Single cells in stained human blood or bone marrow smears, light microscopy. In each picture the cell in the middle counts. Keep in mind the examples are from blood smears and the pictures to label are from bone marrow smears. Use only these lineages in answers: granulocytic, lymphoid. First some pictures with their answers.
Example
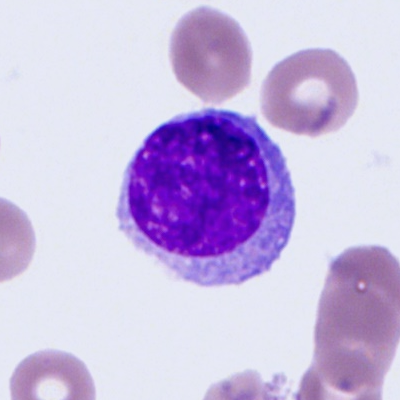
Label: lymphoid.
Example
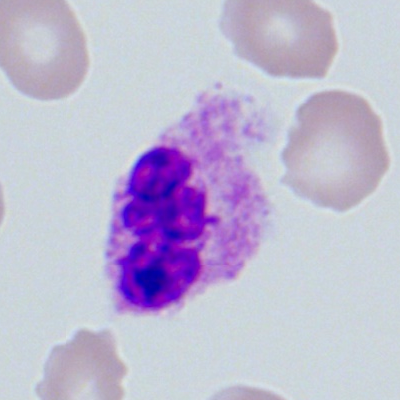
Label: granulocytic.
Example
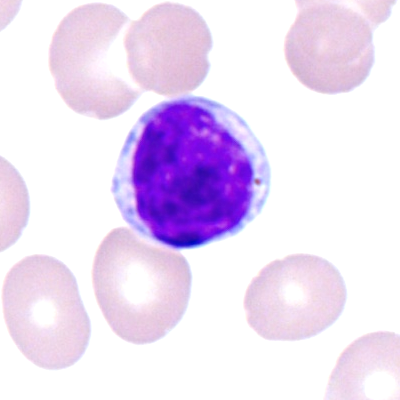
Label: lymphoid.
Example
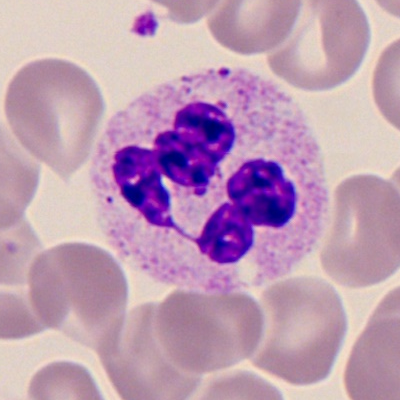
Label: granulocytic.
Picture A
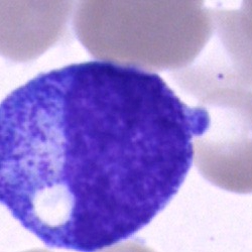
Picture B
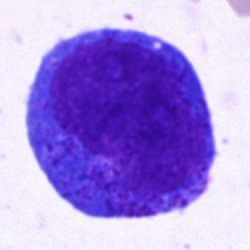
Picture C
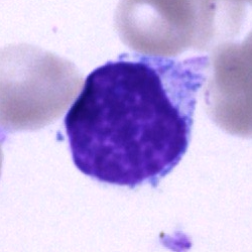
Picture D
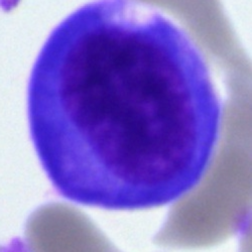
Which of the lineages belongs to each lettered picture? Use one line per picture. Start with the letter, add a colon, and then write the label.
A: granulocytic.
B: granulocytic.
C: lymphoid.
D: lymphoid.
